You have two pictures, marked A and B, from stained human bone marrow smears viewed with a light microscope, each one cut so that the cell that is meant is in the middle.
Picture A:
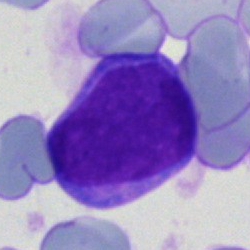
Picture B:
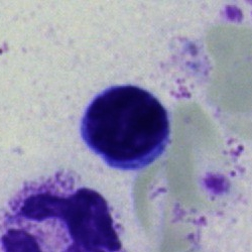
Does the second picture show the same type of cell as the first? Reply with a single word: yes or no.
no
